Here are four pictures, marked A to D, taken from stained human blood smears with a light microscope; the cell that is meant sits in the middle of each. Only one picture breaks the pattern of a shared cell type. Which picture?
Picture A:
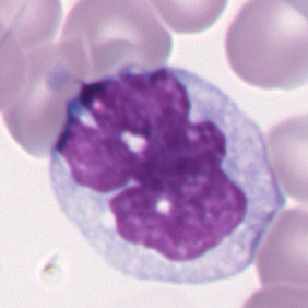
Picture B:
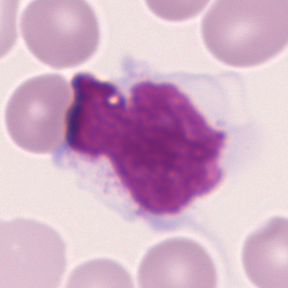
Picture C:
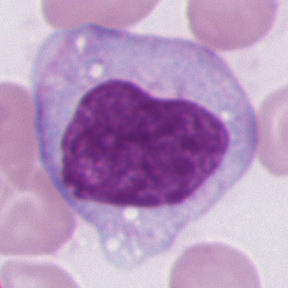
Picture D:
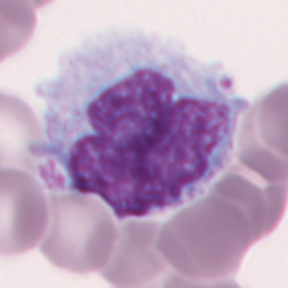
B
